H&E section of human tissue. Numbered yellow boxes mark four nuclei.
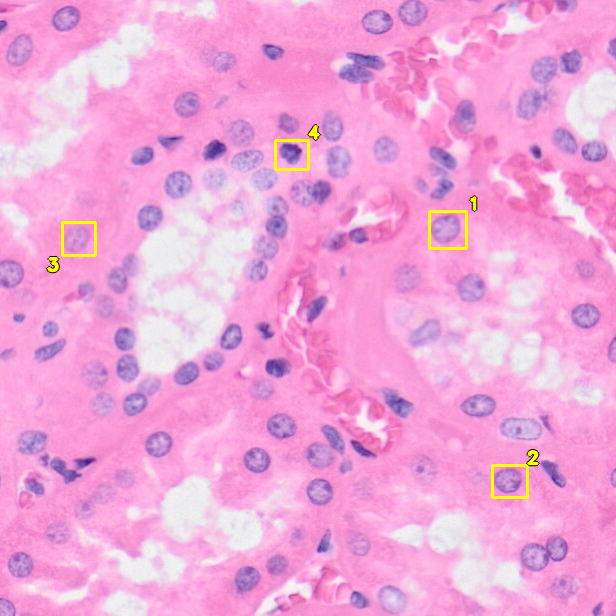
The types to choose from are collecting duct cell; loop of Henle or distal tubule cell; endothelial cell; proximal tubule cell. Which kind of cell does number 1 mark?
proximal tubule cell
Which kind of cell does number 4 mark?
loop of Henle or distal tubule cell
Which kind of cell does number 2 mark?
proximal tubule cell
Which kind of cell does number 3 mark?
proximal tubule cell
